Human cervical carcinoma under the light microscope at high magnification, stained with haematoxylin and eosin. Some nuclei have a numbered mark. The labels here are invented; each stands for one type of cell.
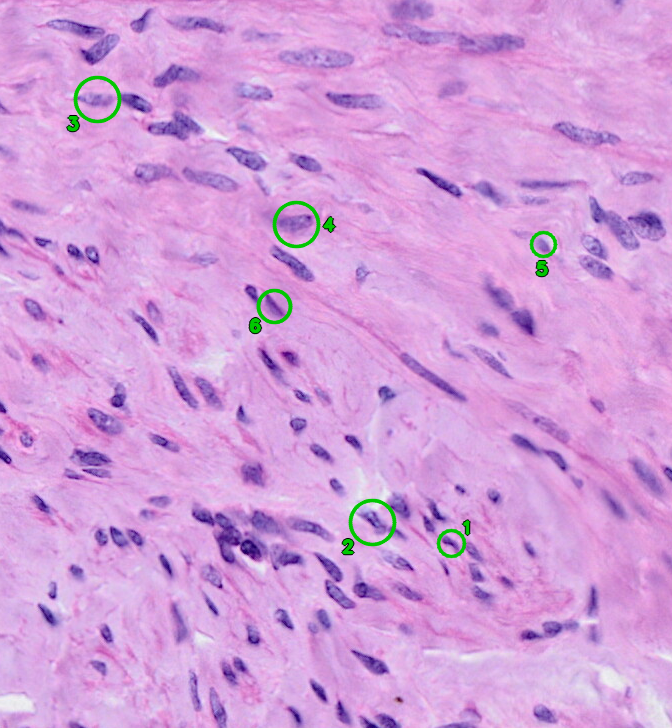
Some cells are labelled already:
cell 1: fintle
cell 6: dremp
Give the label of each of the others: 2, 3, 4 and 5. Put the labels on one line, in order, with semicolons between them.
dremp; dremp; fintle; dremp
